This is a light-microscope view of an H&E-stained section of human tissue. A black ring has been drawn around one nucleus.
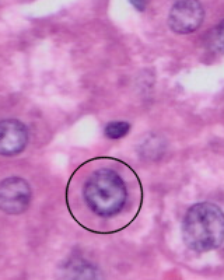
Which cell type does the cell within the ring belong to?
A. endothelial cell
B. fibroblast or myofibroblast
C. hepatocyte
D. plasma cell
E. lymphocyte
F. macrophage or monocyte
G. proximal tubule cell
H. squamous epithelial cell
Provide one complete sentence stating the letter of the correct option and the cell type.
The statement that the cell within the ring is a hepatocyte corresponds to option C, the correct one.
